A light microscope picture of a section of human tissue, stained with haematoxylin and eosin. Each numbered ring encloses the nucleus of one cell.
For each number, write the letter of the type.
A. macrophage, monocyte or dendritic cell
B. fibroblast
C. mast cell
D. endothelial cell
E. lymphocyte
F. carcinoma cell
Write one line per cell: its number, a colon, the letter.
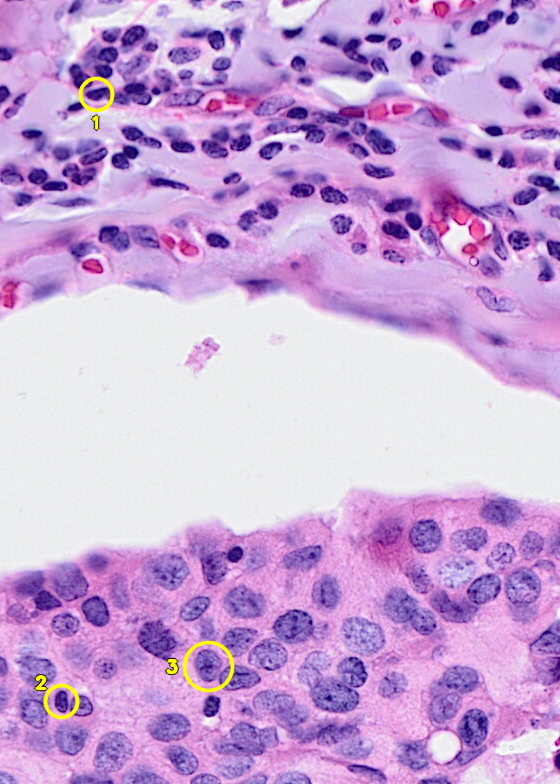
1: E
2: E
3: F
